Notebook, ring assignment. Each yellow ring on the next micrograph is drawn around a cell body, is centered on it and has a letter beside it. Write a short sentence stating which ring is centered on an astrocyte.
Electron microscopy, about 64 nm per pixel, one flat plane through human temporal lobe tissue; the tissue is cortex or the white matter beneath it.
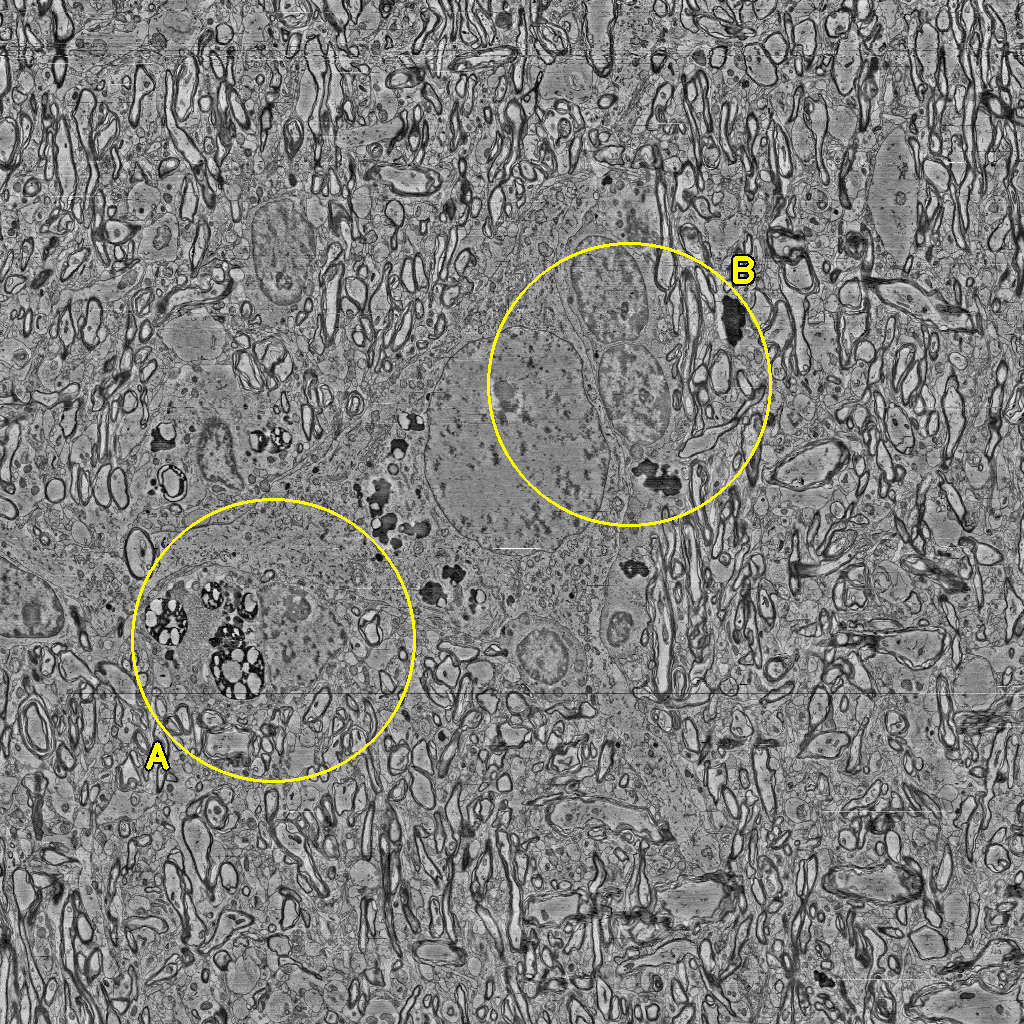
Ring A is centered on it.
